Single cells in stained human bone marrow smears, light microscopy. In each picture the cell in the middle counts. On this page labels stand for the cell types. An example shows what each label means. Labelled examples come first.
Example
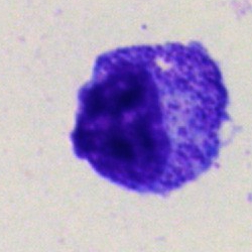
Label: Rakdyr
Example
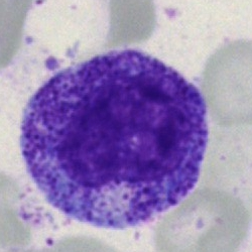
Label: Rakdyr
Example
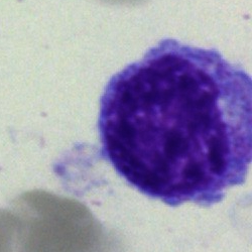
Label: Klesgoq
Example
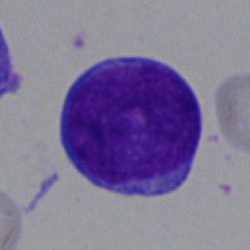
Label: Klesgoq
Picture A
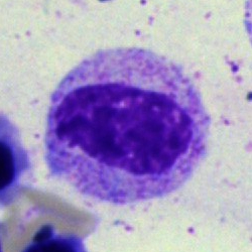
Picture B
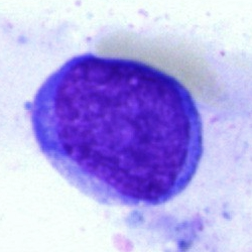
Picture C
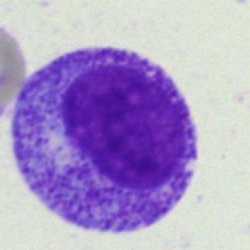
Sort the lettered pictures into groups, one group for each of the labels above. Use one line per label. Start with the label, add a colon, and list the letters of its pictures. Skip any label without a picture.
Rakdyr: A, C
Klesgoq: B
